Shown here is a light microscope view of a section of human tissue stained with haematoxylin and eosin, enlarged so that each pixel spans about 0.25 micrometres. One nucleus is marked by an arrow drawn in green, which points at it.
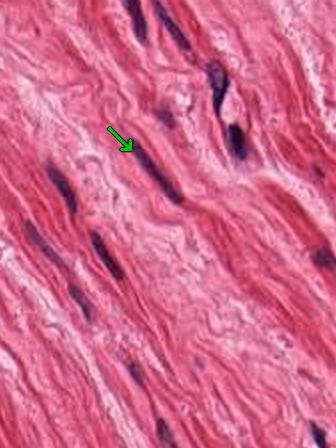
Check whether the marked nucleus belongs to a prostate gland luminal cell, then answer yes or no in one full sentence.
No, the marked nucleus is not a component of a prostate gland luminal cell.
